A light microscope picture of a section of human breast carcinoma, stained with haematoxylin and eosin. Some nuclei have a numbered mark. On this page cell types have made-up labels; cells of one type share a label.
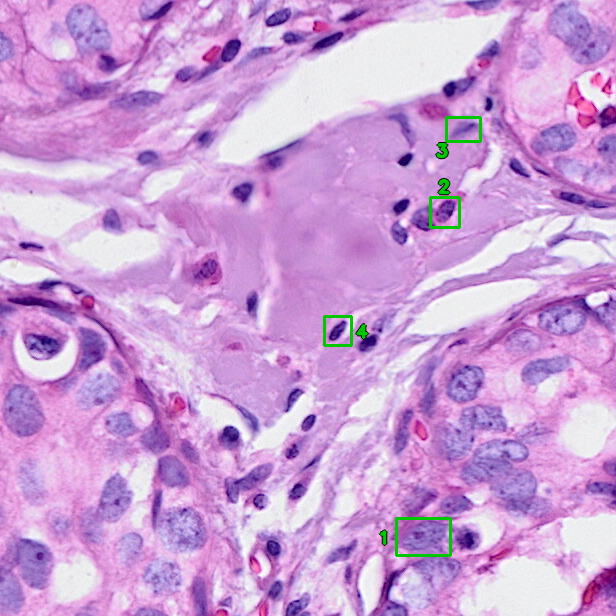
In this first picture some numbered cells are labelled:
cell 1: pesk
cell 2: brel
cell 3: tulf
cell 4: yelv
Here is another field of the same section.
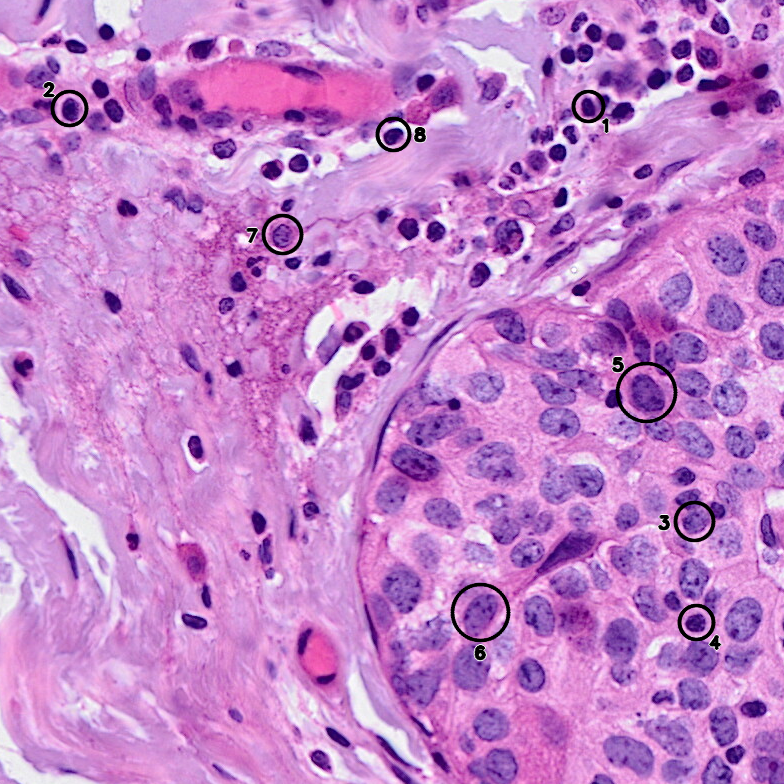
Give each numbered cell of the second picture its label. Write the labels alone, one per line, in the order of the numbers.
yelv
yelv
pesk
yelv
pesk
pesk
brel
yelv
